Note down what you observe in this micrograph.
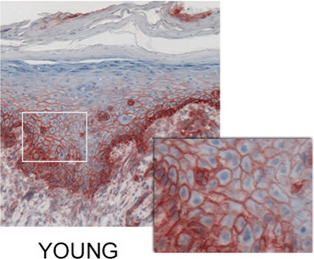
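This is a section through skin showing a thick stratified epidermis of closely packed keratinocytes resting on a looser dermis. Each keratinocyte is outlined by a red line along its cell border, giving a cobblestone-like network, and has a round to oval blue nucleus. The red outlining is strongest in the lower layers near the dermis and fades toward the surface, where flattened, pale, layered sheets form the outermost cornified layer.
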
